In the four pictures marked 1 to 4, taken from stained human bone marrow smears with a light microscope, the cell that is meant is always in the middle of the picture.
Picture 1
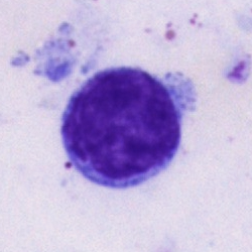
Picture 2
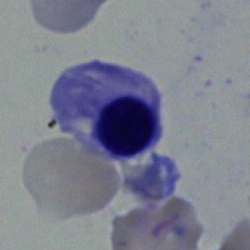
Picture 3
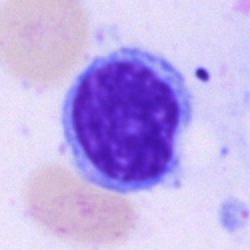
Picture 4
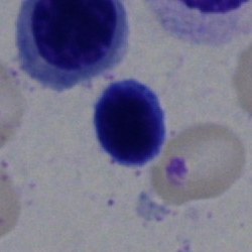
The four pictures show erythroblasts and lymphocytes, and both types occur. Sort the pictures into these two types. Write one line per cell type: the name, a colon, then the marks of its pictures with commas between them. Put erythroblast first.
erythroblast: 2
lymphocyte: 1, 3, 4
